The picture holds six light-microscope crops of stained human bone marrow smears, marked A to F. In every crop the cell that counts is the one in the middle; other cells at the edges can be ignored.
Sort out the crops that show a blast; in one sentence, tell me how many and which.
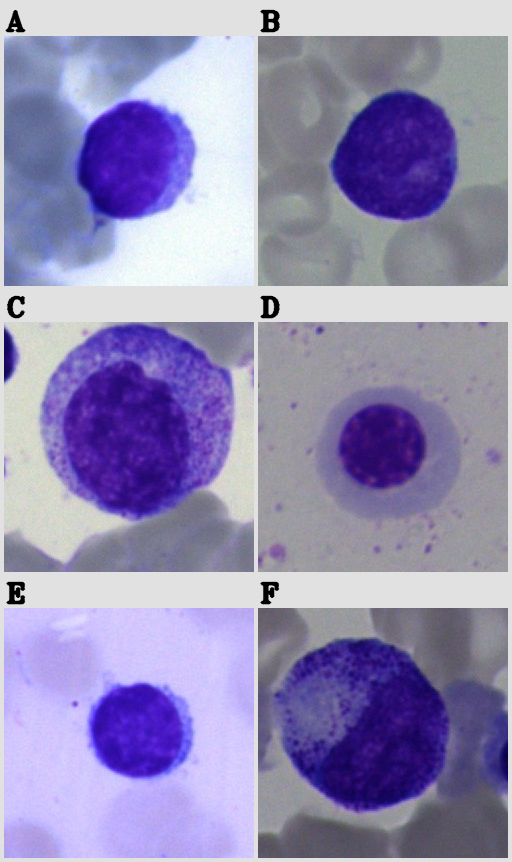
Crop B is the one that shows a blast.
